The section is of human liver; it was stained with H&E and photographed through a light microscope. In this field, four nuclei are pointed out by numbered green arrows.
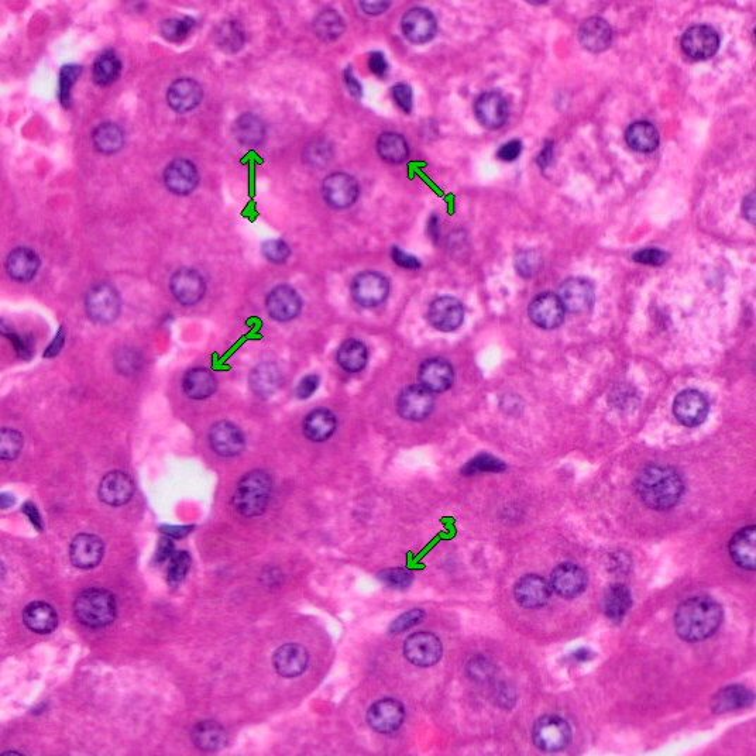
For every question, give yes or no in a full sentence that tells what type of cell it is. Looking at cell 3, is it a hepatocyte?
No, number 3 is not a hepatocyte but a fibroblast or stellate cell.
